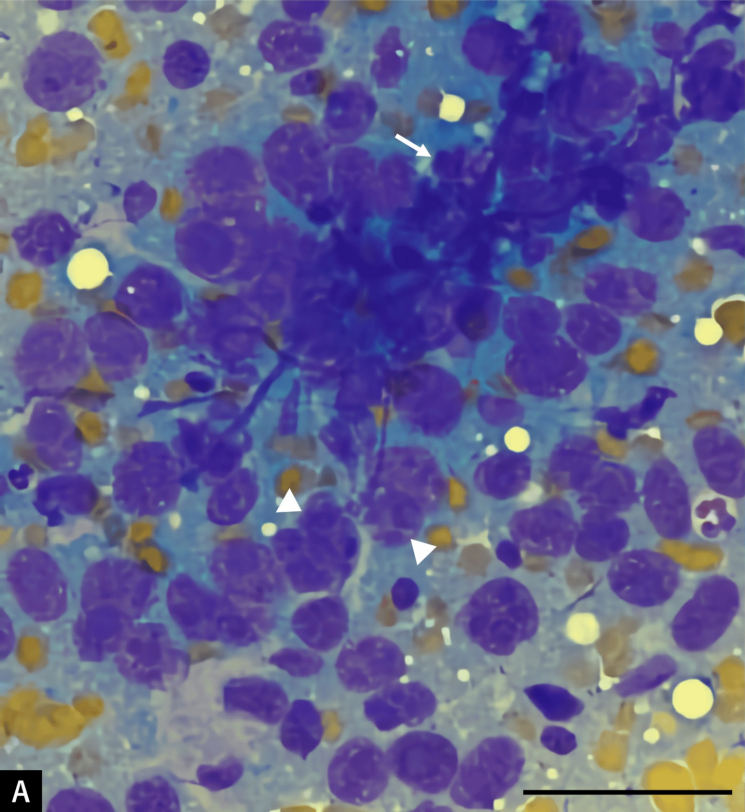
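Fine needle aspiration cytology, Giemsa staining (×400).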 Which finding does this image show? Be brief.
Marked pleomorphism.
